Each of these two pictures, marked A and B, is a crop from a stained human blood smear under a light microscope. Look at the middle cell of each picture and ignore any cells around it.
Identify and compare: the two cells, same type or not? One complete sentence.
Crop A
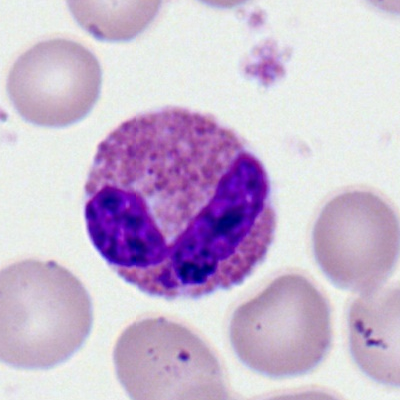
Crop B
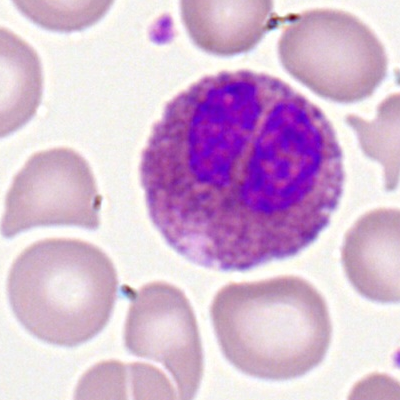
Yes, eosinophils are what the two crops show.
